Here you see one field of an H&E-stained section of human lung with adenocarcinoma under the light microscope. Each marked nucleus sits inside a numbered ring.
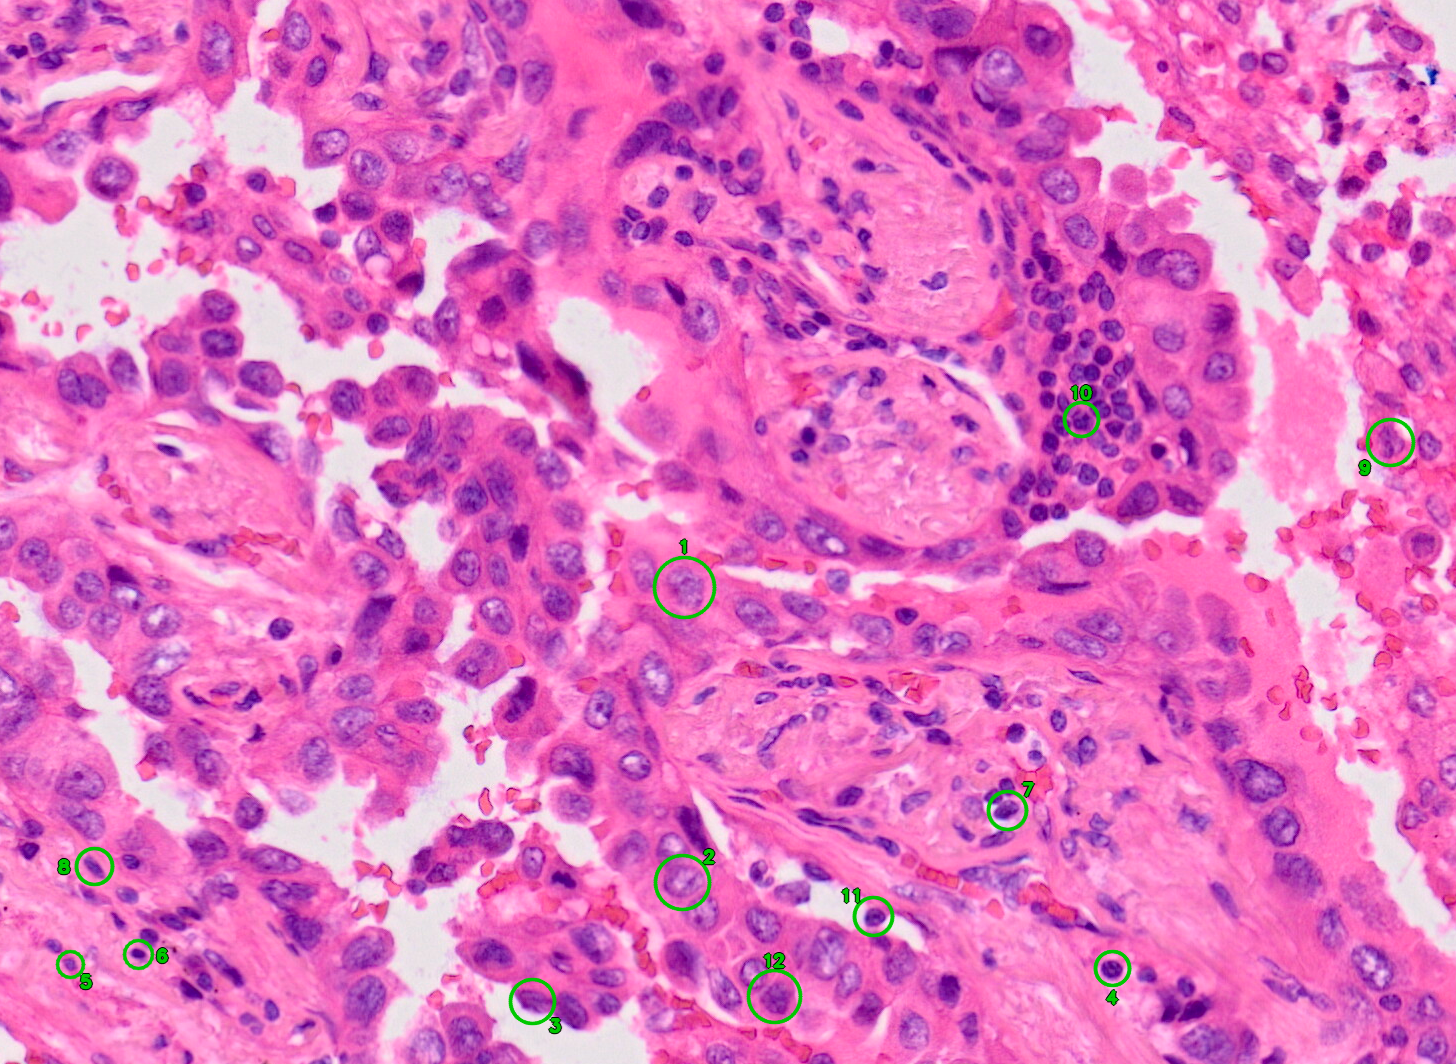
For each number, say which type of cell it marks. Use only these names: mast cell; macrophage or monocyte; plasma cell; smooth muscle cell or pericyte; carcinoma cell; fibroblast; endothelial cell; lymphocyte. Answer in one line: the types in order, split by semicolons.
carcinoma cell; carcinoma cell; carcinoma cell; lymphocyte; smooth muscle cell or pericyte; lymphocyte; lymphocyte; lymphocyte; macrophage or monocyte; lymphocyte; lymphocyte; carcinoma cell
